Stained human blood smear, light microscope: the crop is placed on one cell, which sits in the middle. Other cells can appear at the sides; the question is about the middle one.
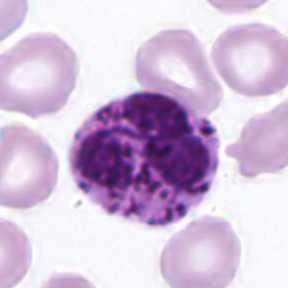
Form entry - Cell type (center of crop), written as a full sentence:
The centrally positioned cell in the crop represents a basophil.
